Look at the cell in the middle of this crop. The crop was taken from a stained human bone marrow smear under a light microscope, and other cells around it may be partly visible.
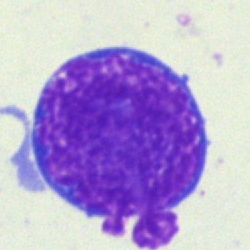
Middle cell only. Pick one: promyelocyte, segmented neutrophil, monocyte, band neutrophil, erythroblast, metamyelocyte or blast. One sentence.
Of the cells in this crop, the central one is a blast.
